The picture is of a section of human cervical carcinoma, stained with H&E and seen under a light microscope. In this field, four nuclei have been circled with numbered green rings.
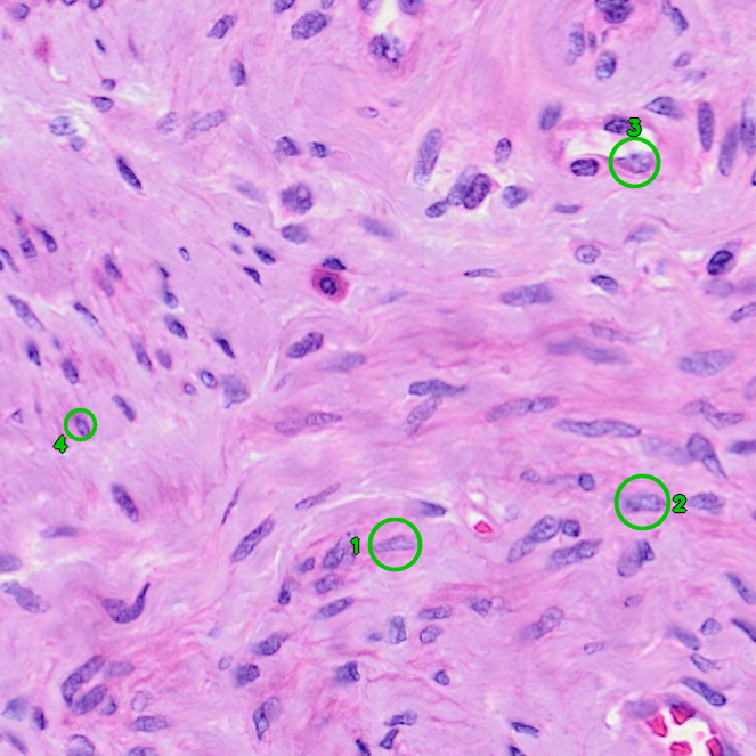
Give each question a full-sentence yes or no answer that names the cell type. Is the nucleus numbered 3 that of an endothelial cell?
Yes, that one, number 3, is an endothelial cell.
